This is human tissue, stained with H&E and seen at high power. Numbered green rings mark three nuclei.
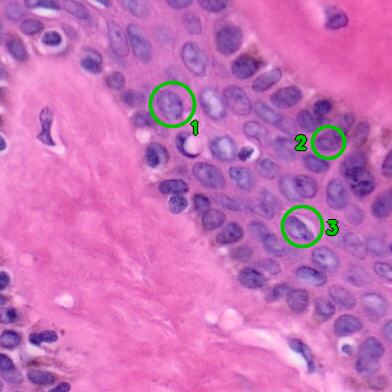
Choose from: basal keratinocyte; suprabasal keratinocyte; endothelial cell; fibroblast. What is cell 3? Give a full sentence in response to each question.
As for number 3, that cell is a suprabasal keratinocyte.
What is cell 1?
Number 1 among the marked cells is a suprabasal keratinocyte.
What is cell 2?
At number 2, the marked cell is a basal keratinocyte.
